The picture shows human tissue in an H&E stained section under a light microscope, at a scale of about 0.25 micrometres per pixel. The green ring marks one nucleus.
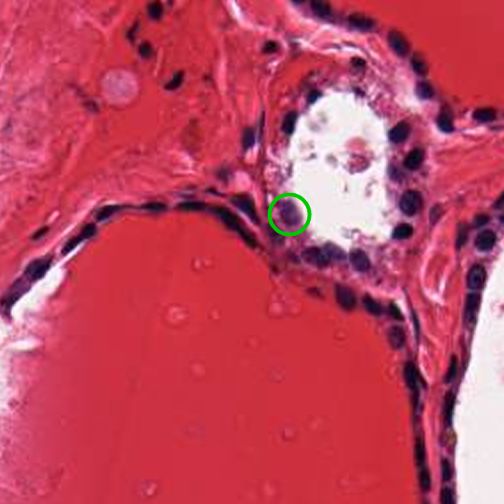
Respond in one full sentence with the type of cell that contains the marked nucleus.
The marked nucleus is seen to belong to a thyroid follicular cell.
